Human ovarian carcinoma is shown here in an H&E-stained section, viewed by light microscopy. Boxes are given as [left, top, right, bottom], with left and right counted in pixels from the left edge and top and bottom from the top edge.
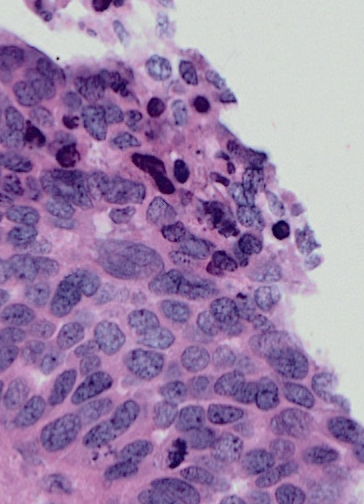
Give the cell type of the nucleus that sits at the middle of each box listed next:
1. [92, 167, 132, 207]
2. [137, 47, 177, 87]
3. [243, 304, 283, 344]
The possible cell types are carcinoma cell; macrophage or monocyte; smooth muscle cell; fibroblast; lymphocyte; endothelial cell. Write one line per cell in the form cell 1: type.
cell 1: carcinoma cell
cell 2: macrophage or monocyte
cell 3: carcinoma cell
